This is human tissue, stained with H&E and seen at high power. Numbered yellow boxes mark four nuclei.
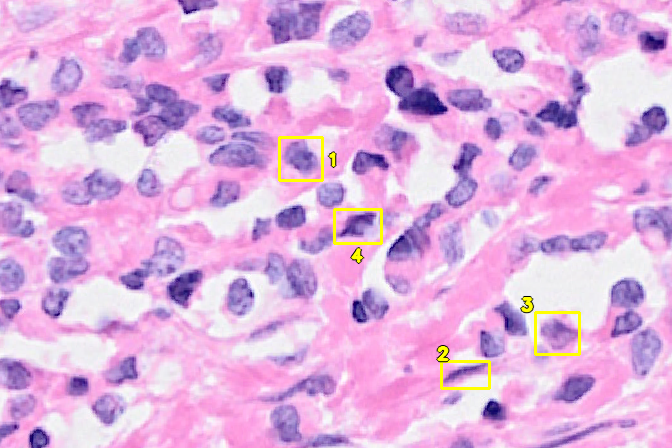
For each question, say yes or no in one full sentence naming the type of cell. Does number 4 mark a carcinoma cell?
Yes, in this tissue section, number 4 is a carcinoma cell.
